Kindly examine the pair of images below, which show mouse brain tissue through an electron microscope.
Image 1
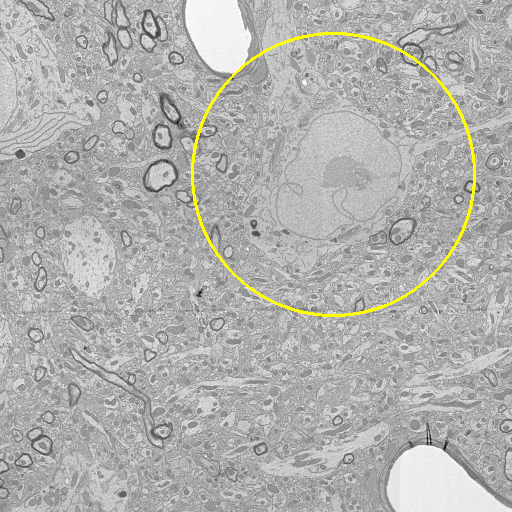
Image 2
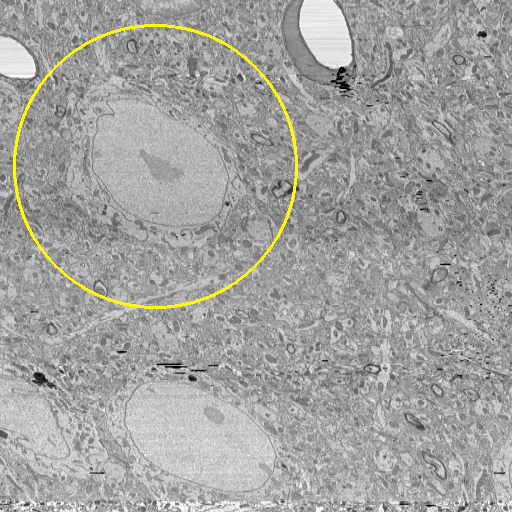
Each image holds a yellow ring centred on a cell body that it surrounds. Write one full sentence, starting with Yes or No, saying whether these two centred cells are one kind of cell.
Yes, both cells at the centres of the yellow rings belong to one kind of cell.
